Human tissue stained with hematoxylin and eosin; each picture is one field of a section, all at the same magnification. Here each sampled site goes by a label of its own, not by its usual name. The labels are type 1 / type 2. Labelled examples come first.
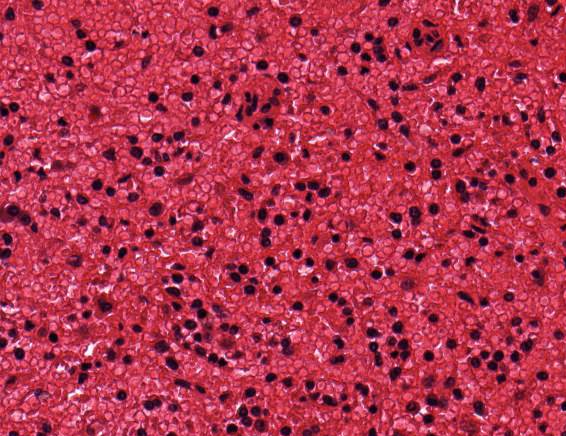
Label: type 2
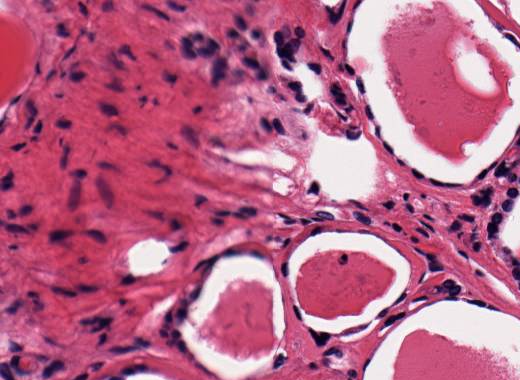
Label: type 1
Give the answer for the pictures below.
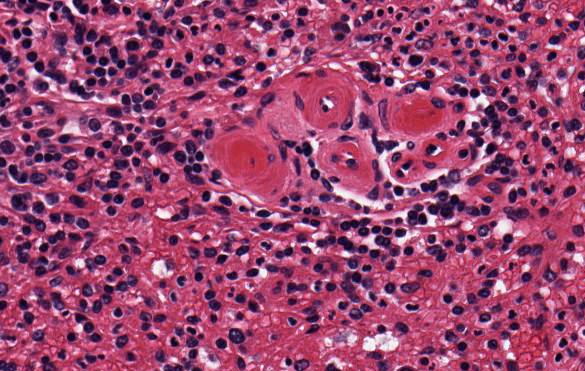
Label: type 2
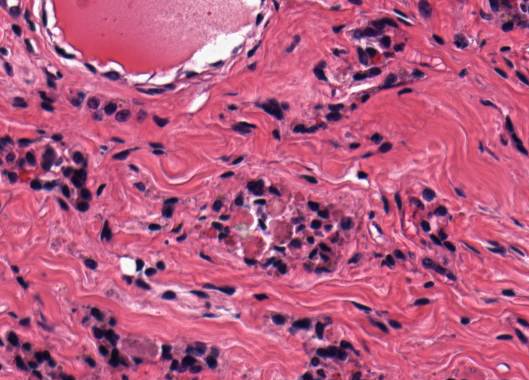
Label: type 1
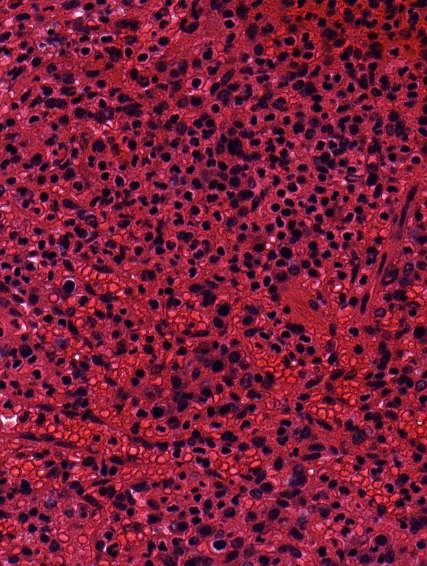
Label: type 2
